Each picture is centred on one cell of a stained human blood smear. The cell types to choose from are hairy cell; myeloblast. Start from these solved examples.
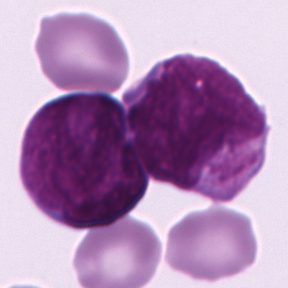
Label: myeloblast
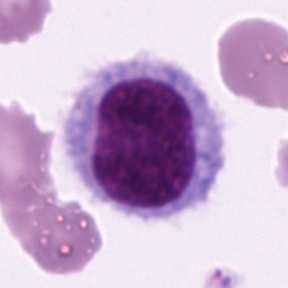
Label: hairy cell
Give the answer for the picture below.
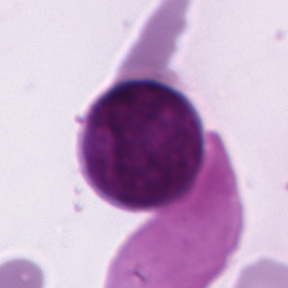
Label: myeloblast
